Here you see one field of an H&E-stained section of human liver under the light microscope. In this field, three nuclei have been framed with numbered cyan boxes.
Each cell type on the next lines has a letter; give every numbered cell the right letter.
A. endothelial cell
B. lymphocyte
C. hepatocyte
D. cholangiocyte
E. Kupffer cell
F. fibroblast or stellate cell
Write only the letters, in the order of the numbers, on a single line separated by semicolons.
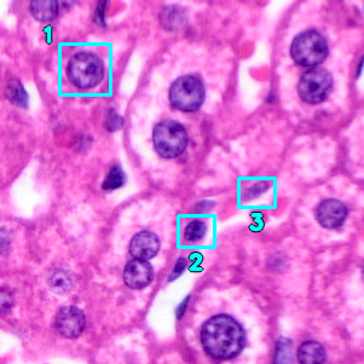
C; B; E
